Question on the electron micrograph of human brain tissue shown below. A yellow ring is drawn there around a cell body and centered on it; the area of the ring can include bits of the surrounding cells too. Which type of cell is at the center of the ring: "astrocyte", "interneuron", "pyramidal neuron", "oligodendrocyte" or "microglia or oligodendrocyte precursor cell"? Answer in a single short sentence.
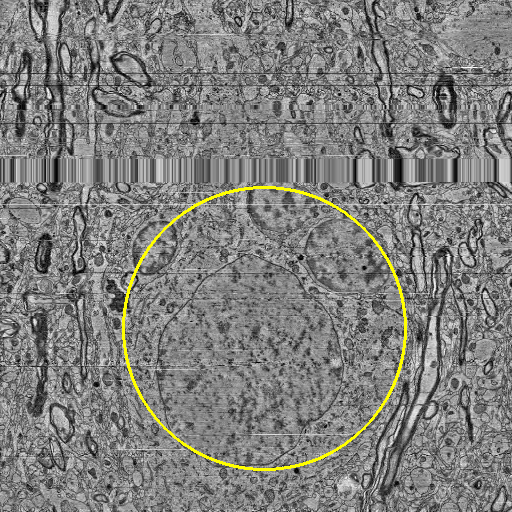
The ring is centered on a pyramidal neuron.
